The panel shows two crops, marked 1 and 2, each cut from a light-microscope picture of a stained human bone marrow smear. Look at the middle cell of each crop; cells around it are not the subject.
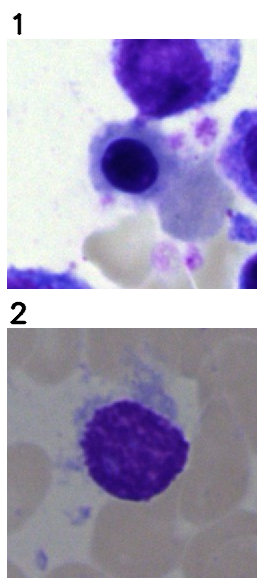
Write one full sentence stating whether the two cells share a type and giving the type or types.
No, crop 1 shows an erythroblast, and it is crop 2 that shows a lymphocyte.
